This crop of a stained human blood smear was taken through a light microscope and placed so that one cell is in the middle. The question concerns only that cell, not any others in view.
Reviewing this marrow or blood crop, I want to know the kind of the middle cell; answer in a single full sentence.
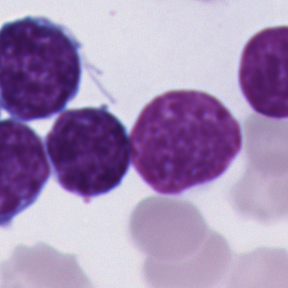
The cell at the central position in this crop is a myeloblast.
